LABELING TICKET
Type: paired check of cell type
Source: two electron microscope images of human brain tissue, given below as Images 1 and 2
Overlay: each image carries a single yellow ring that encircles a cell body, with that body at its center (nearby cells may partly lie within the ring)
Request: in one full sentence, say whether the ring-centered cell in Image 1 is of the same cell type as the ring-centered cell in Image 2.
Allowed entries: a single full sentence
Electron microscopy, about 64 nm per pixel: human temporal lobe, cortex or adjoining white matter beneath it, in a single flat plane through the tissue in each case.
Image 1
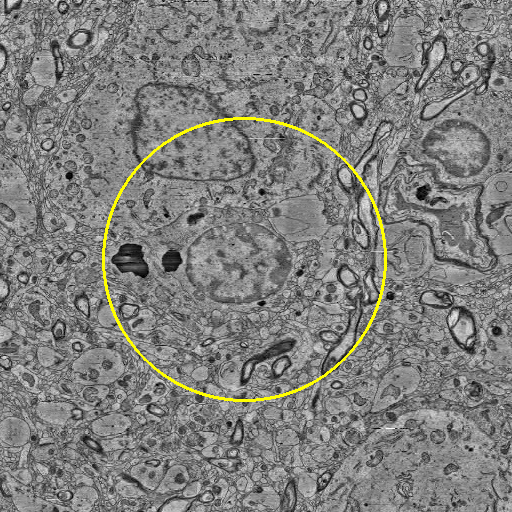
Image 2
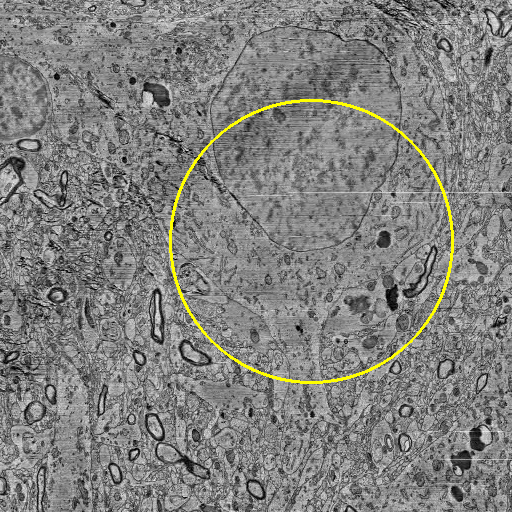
No, the cells centered in the rings of Image 1 and Image 2 are of two types.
